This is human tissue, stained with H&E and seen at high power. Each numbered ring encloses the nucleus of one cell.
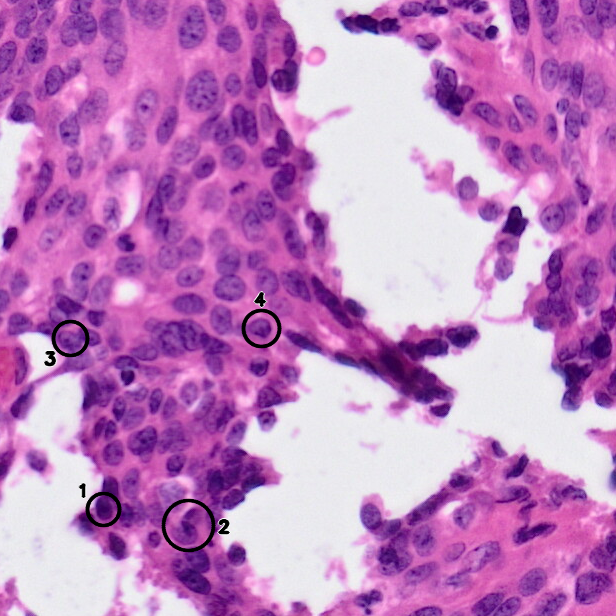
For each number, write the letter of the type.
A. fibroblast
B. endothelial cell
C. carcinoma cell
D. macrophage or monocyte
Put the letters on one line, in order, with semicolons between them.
C; C; C; D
